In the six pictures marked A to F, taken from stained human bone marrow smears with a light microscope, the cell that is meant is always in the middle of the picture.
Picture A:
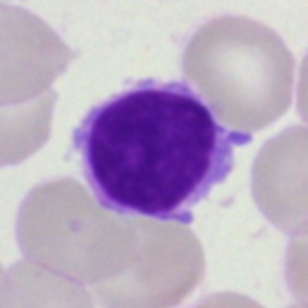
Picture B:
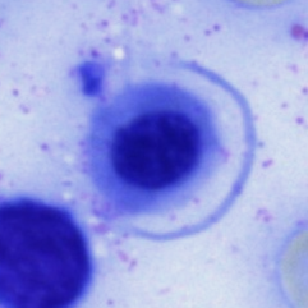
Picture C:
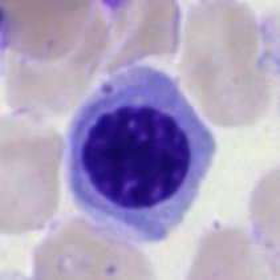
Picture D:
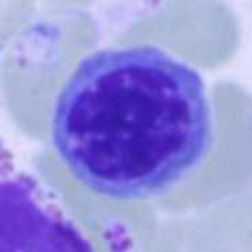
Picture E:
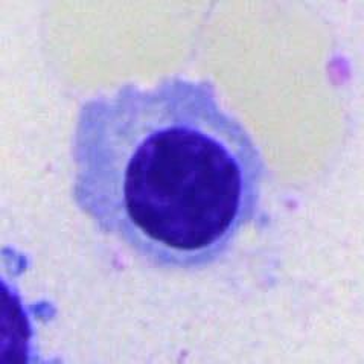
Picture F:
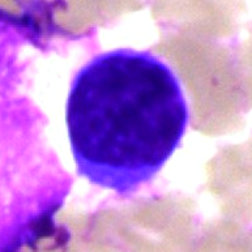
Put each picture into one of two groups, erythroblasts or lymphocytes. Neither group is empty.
A: lymphocyte
B: erythroblast
C: erythroblast
D: erythroblast
E: erythroblast
F: lymphocyte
